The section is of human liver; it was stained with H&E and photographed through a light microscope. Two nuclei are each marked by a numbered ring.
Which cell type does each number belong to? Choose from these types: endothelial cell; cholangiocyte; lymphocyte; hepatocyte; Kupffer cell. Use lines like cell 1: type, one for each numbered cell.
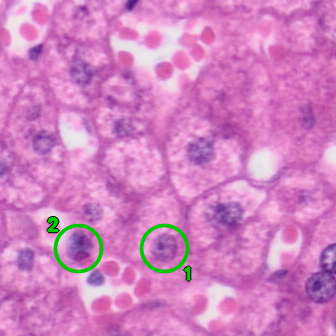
cell 1: hepatocyte
cell 2: endothelial cell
